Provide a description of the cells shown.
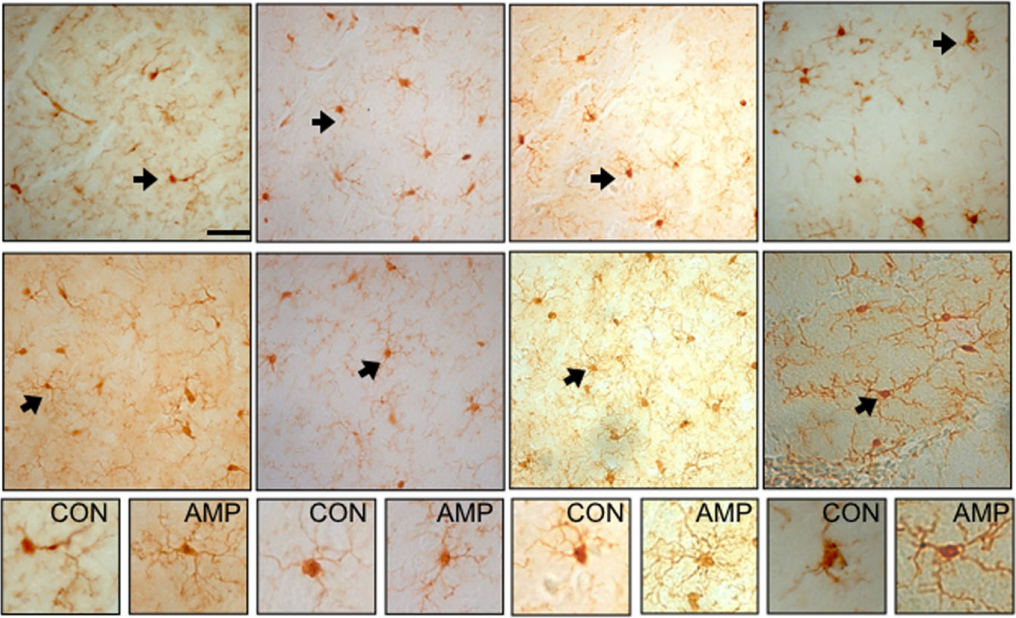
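A grid of brightfield fields of brain tissue shows scattered brown-stained cells, each with a small dense cell body and fine branching processes, on a pale unstained background. The cell bodies are small and irregular, and are spaced apart without clustering. The processes radiate from the soma and branch into thin twigs. In several fields of the lower row the processes look longer and more densely branched, and the fields hold more stained cells. Small enlarged views beneath the grid each show a single stained cell with its soma and processes.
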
